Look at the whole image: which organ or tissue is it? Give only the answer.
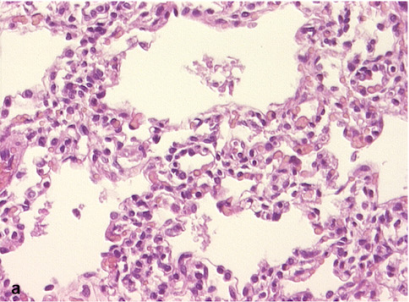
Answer: Normal lung tissue.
